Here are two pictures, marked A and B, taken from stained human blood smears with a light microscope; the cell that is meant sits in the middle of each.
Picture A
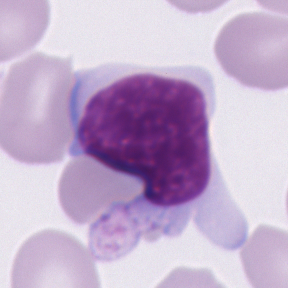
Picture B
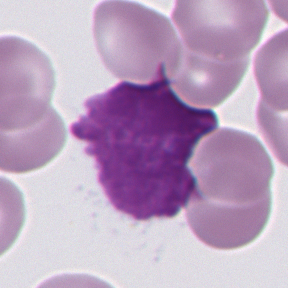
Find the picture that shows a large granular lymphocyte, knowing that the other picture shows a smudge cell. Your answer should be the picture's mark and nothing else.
A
